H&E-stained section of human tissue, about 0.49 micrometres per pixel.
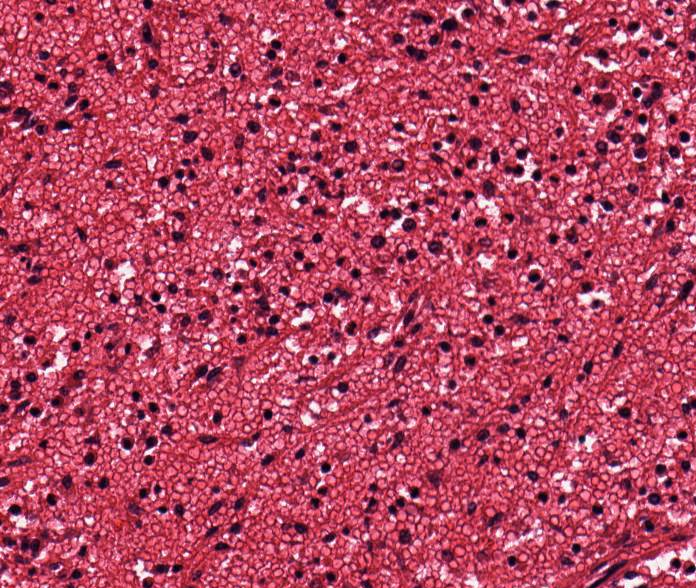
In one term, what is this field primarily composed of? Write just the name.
red pulp of the spleen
